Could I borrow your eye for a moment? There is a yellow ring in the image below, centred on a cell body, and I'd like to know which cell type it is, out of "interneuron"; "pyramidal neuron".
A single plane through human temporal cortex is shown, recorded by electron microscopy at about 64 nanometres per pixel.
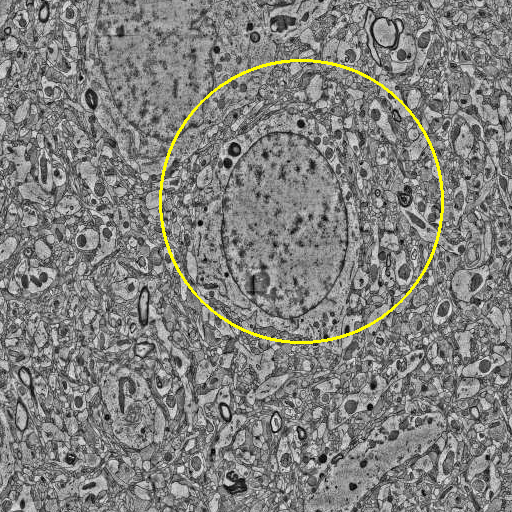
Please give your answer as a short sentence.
The cell body at the centre is that of a pyramidal neuron.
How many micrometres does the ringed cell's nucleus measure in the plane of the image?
Roughly 12 by 8 micrometres in this plane, for the nucleus of the ringed cell.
